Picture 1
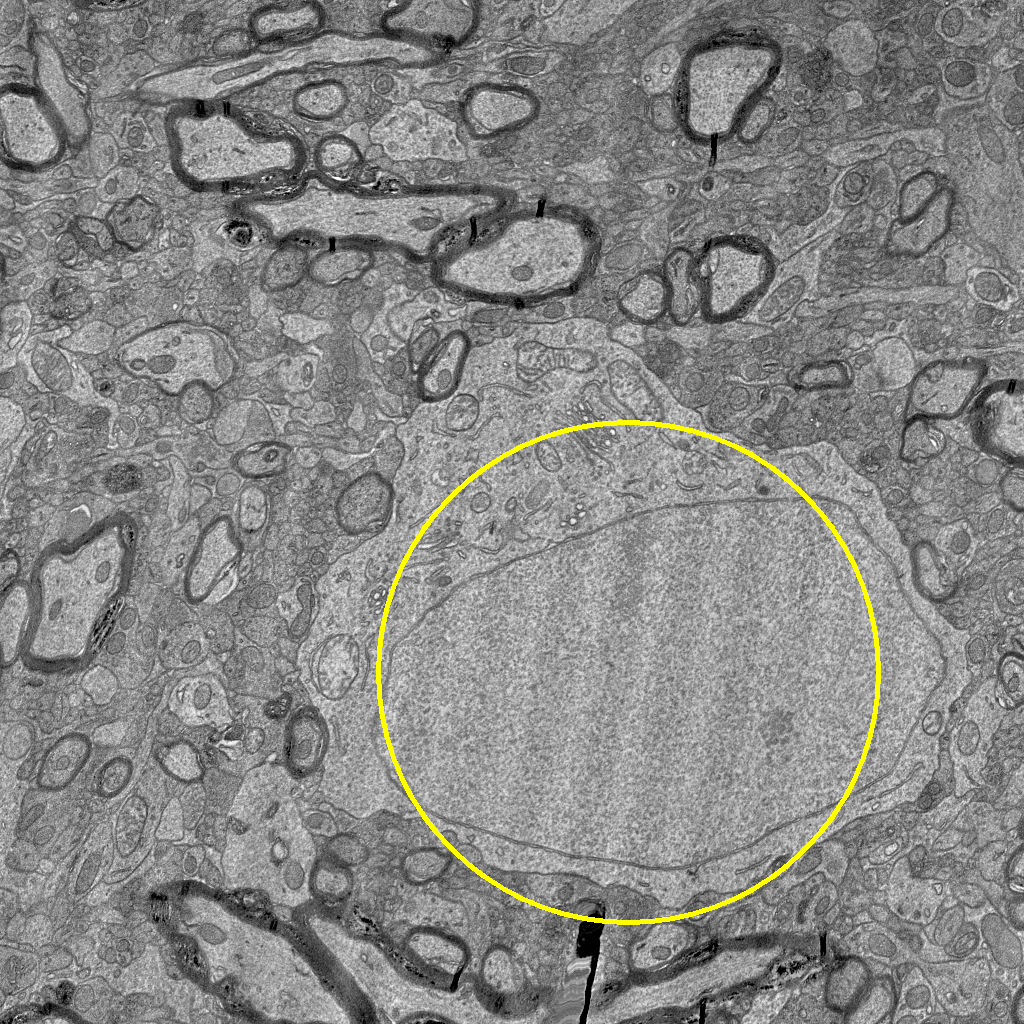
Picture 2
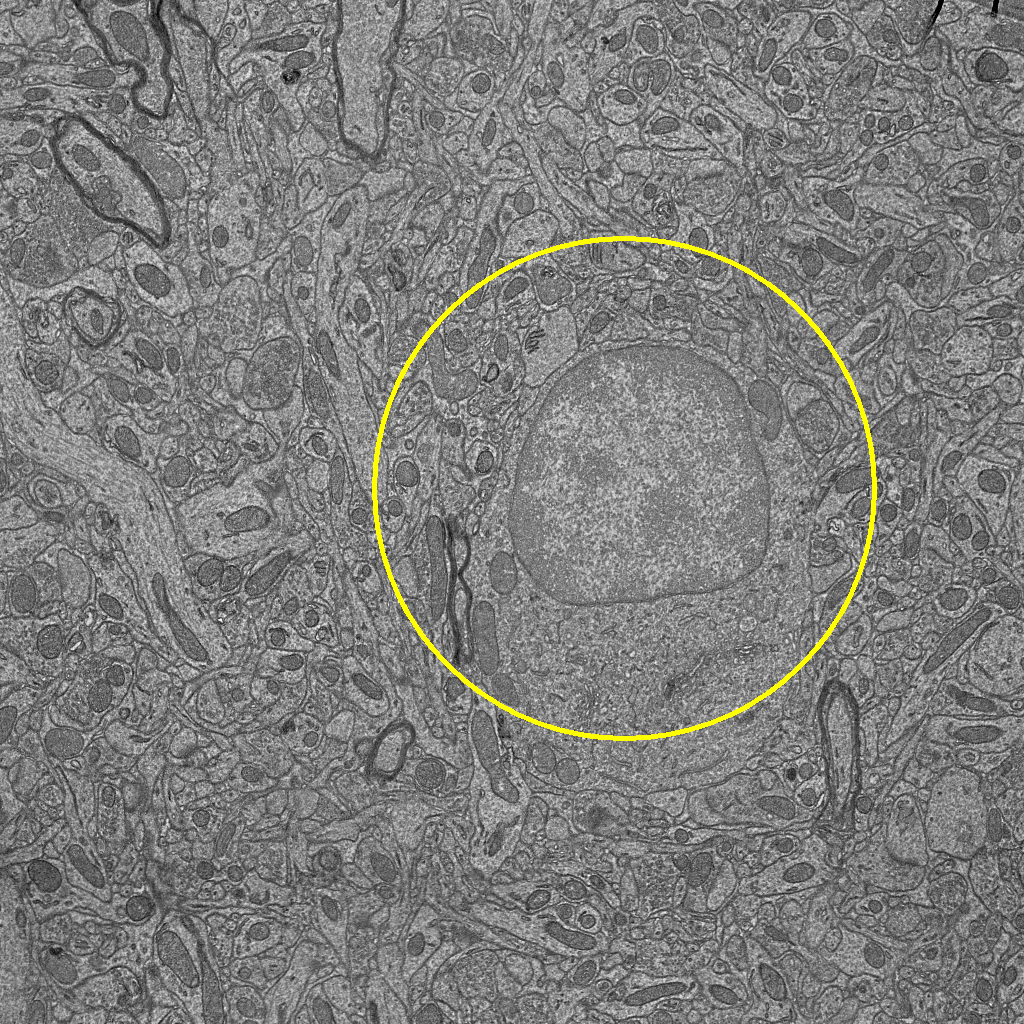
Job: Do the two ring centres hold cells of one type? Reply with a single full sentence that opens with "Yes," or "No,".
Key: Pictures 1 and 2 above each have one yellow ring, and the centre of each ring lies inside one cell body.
No, the cells at the two ring centres are of two separate types.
